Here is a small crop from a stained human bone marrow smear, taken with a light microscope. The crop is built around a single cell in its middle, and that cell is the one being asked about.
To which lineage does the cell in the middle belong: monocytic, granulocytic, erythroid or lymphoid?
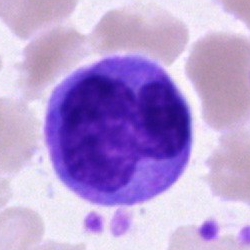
monocytic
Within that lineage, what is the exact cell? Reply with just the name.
monocyte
